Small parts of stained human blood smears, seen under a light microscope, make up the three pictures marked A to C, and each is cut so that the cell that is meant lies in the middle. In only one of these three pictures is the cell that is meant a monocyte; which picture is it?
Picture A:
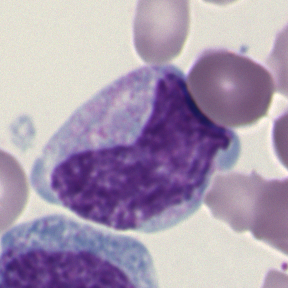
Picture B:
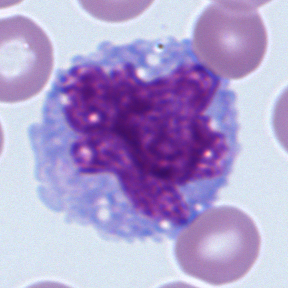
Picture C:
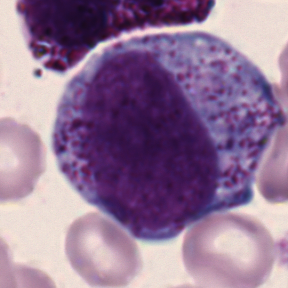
B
